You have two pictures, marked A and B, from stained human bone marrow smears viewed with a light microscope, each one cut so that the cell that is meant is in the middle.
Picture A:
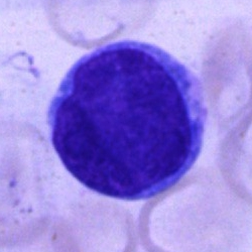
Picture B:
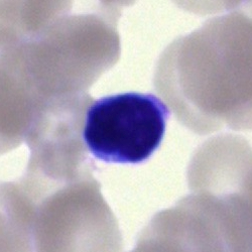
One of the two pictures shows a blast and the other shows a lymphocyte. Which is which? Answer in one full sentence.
The cell in picture A is a blast, and the one in picture B is a lymphocyte.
